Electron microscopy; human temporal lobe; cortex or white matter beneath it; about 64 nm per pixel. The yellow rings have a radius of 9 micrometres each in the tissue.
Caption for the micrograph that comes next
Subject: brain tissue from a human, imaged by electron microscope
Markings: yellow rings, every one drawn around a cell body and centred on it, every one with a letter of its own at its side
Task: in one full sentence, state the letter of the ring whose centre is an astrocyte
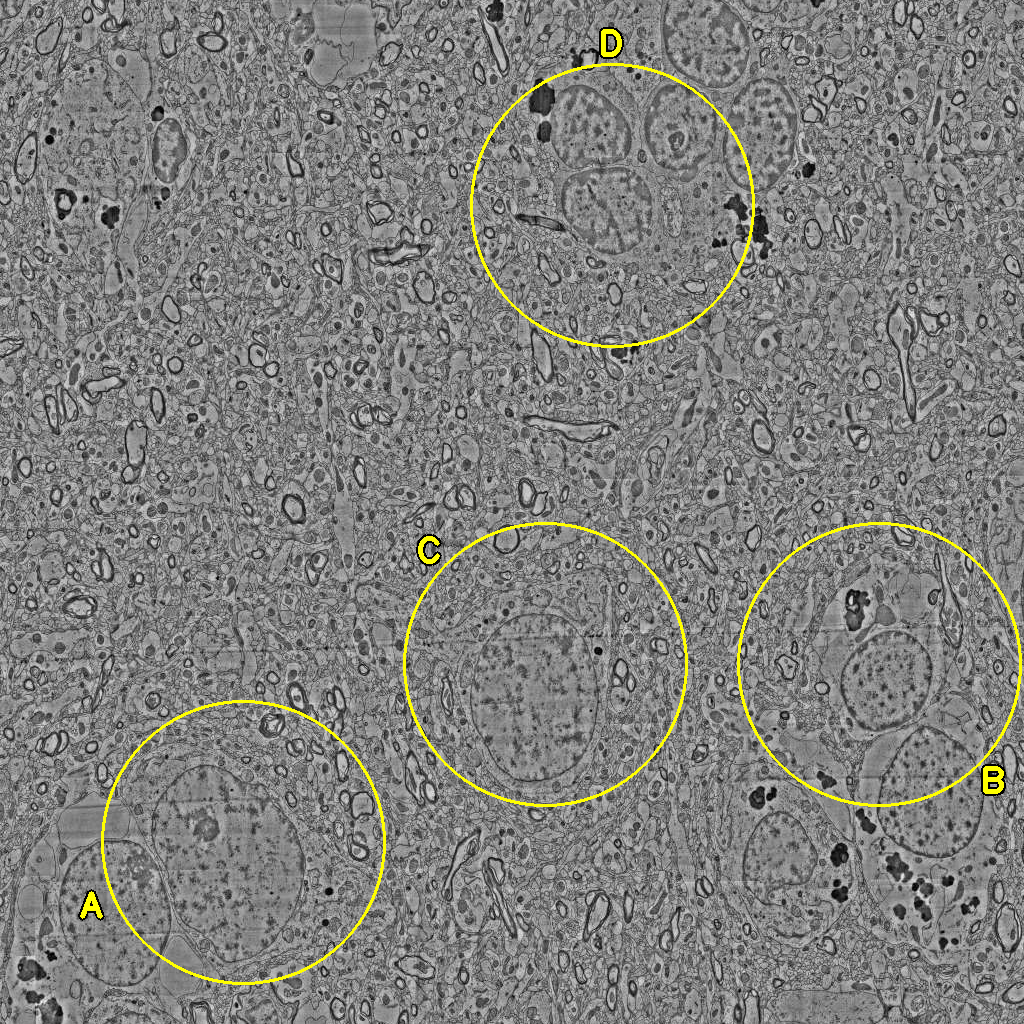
The ring centred on the cell asked for in this micrograph carries the letter B.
